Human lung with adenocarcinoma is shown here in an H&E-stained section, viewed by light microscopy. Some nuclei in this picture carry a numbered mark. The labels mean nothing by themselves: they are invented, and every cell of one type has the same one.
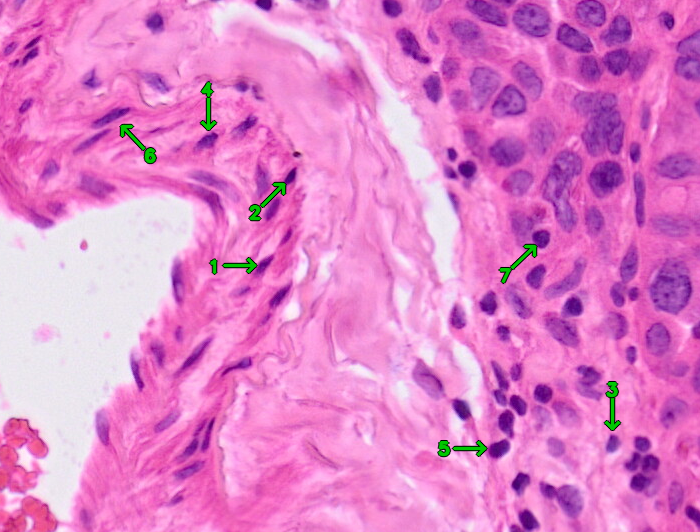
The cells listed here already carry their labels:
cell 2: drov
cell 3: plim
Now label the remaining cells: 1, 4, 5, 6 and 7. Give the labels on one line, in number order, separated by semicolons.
drov; drov; plim; drov; plim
